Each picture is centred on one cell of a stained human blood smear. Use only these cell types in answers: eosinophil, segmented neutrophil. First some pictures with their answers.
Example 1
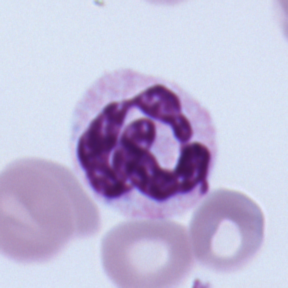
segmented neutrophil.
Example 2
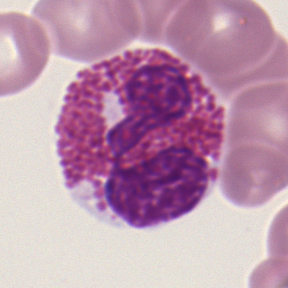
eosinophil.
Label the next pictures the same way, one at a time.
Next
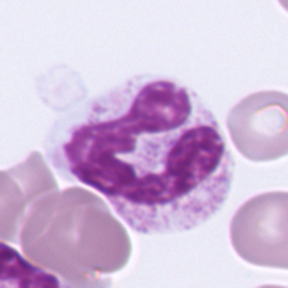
segmented neutrophil.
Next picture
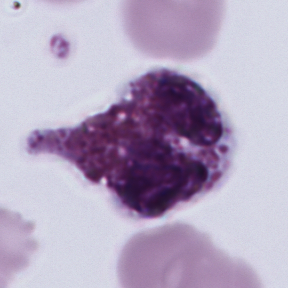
eosinophil.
